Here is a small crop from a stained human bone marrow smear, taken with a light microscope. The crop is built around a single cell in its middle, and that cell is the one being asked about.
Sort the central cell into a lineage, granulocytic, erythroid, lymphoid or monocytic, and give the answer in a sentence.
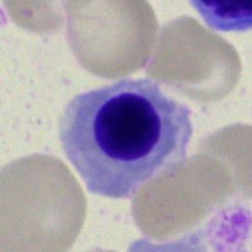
Lineage field for the centered cell should read erythroid.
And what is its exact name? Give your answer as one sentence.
What the crop centres on is an erythroblast.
